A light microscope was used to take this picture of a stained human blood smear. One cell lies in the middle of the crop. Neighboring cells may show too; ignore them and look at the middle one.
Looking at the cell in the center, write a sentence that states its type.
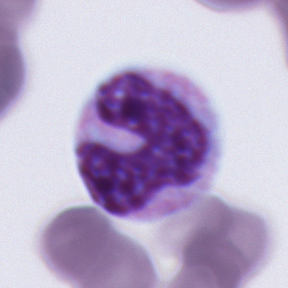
In the centre of this crop there is a band neutrophil.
